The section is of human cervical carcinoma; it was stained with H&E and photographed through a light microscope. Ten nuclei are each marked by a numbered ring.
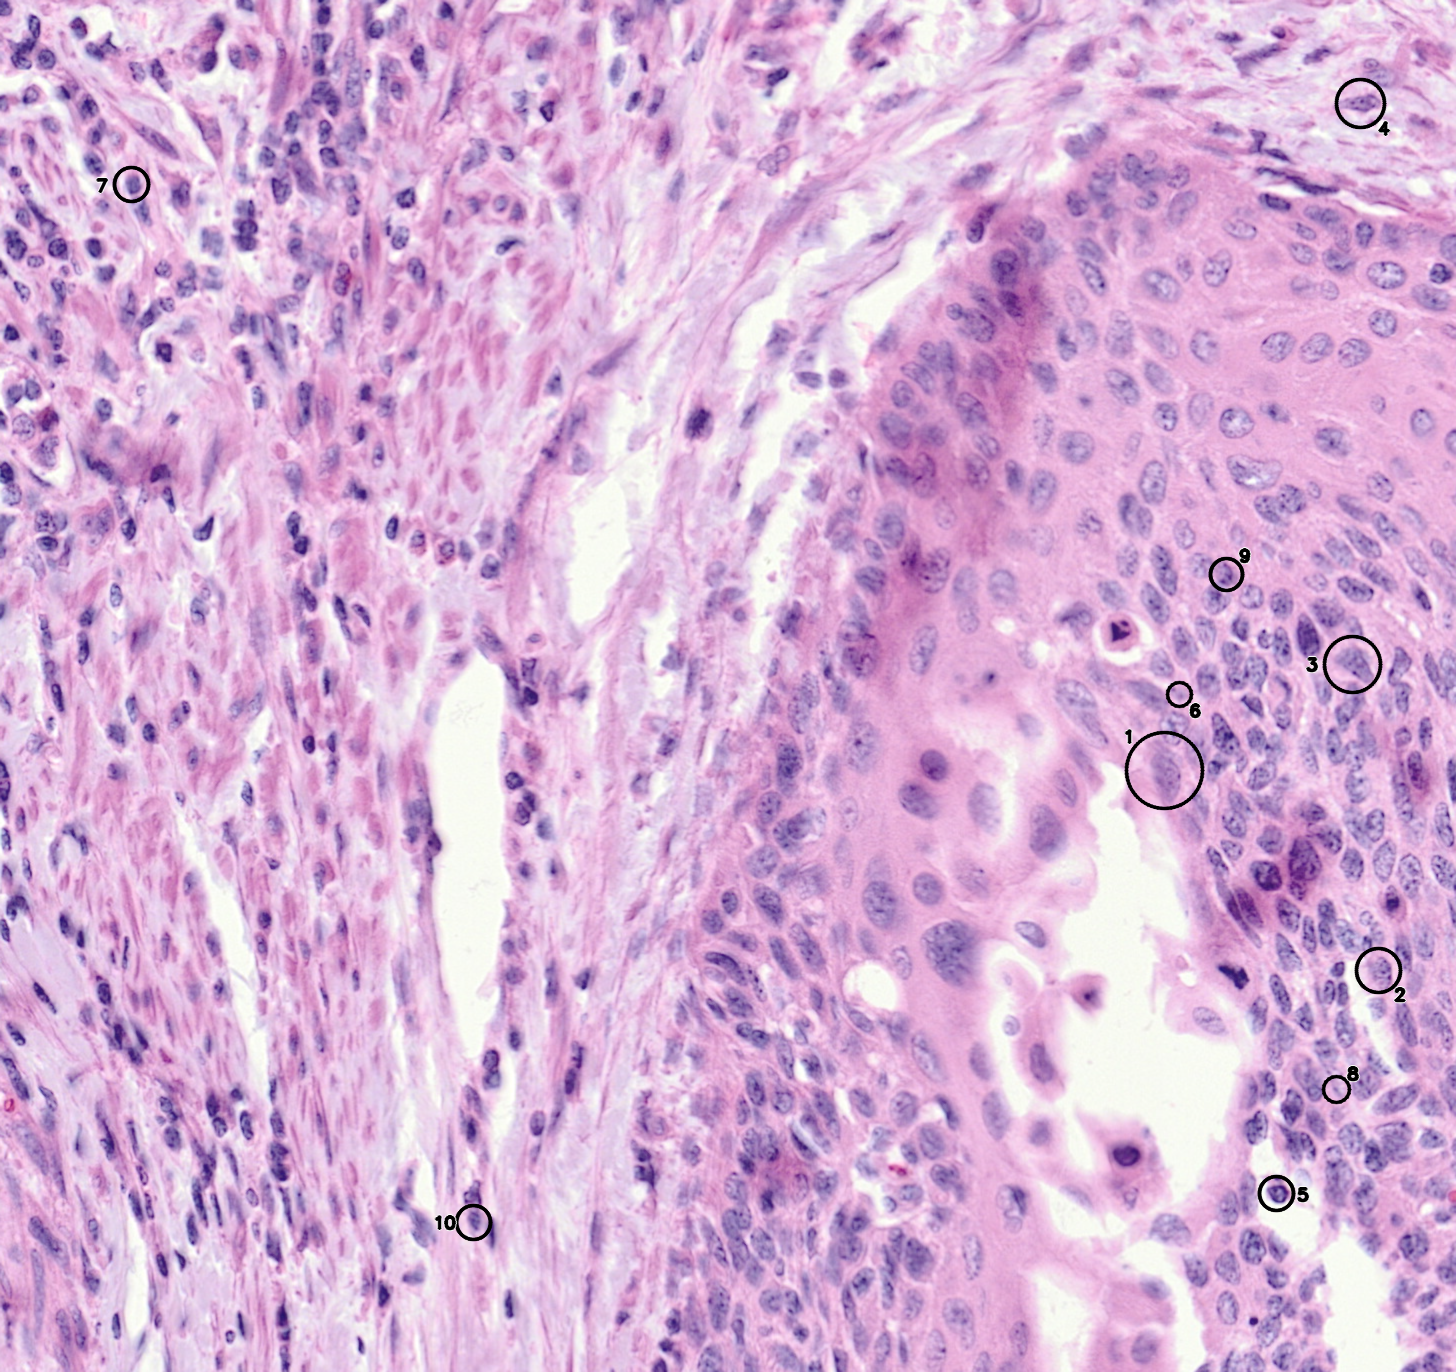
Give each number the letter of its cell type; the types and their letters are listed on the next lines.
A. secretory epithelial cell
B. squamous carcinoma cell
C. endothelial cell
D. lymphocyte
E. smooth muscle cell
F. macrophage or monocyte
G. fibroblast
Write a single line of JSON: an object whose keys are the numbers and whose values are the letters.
{"1": "B", "2": "B", "3": "B", "4": "F", "5": "D", "6": "B", "7": "D", "8": "B", "9": "B", "10": "D"}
